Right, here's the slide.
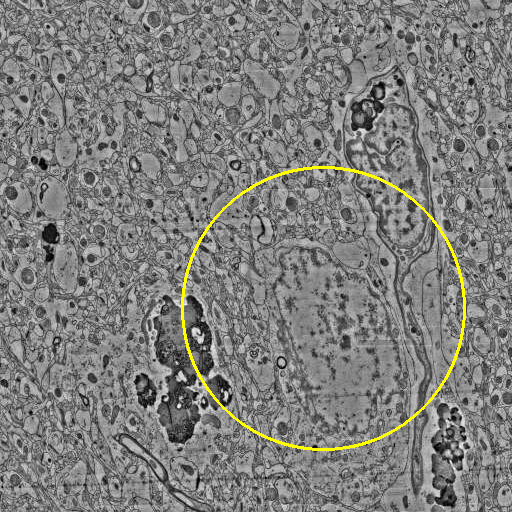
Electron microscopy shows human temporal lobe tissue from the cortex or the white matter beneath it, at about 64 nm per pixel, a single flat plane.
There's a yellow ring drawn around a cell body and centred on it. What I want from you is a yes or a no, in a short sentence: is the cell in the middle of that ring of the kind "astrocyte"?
No, it's of some other kind.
